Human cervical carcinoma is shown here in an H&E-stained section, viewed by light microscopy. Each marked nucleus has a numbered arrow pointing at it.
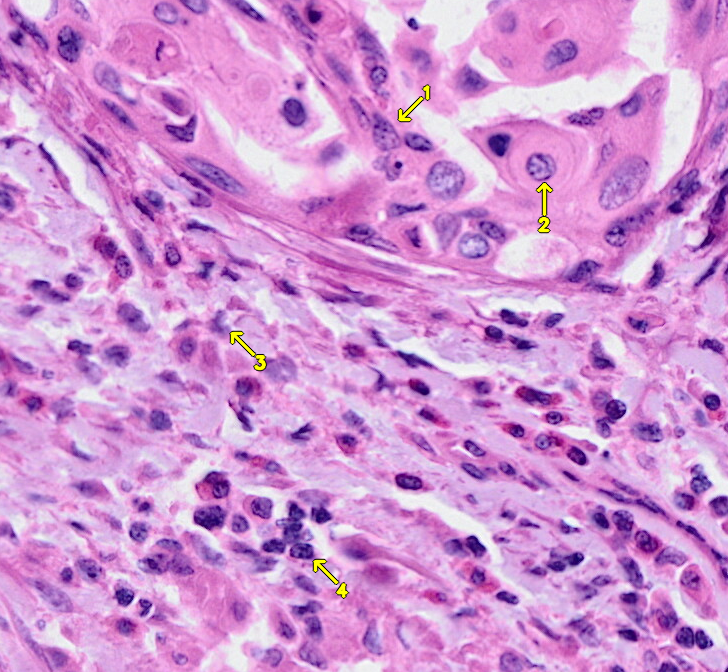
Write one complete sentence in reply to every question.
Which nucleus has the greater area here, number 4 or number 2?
At about 1.5 times the area of nucleus 4, nucleus 2 is the larger of the two.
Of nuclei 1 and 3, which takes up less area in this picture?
Number 3 is smaller, since number 1 takes up about 2 times as much area.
